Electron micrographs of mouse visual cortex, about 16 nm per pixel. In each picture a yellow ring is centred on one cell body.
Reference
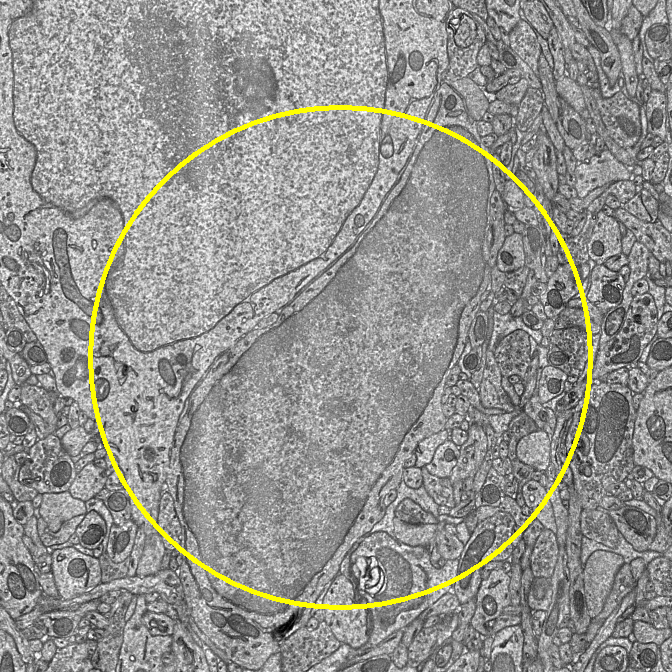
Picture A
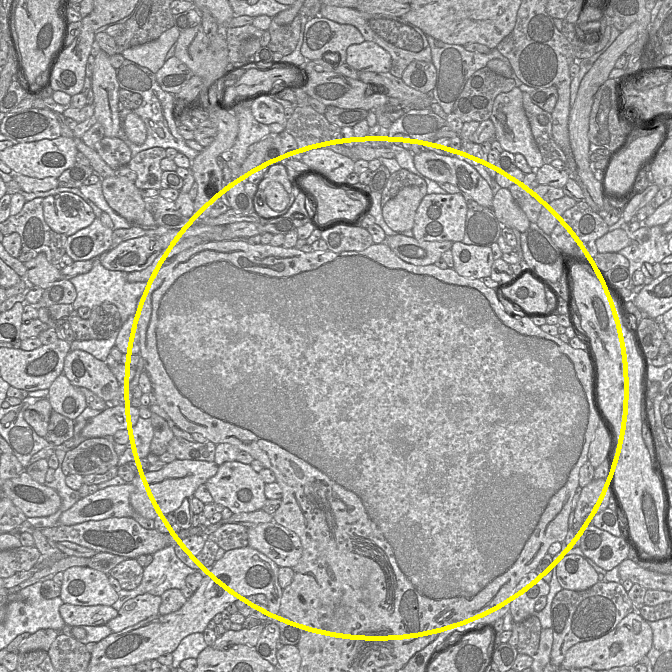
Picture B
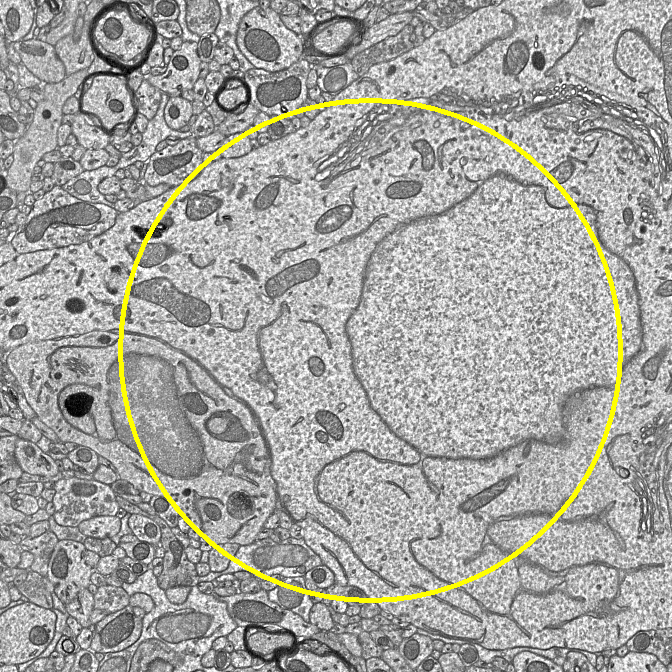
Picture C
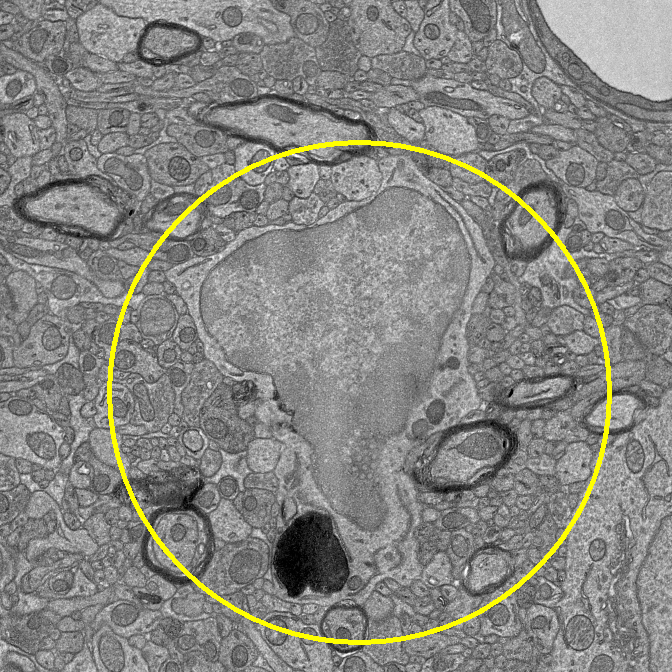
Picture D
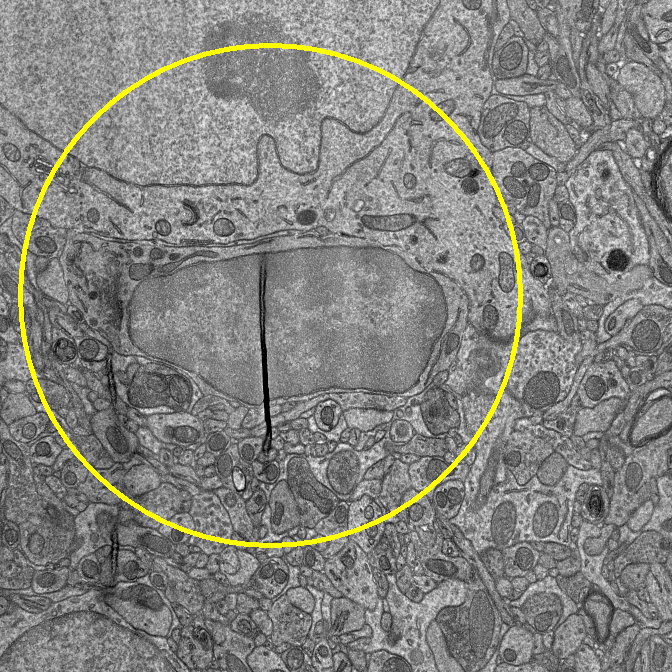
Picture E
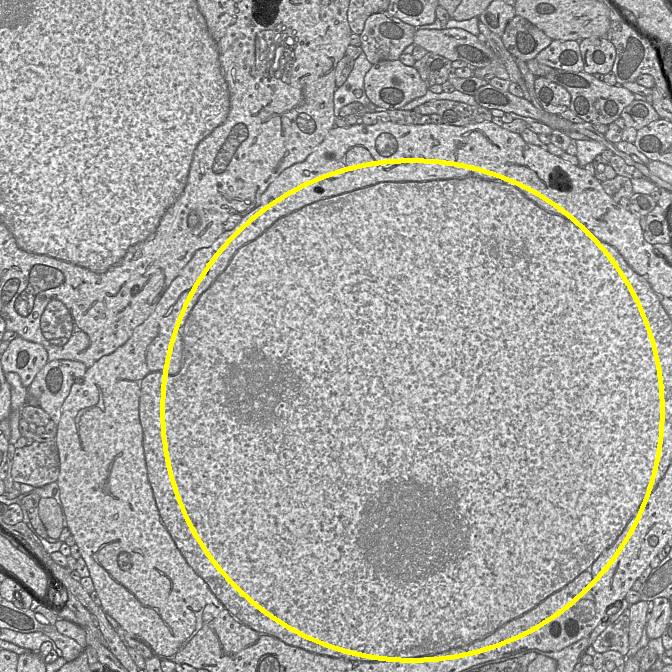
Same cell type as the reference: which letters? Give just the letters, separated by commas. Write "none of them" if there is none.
A, B, C, D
